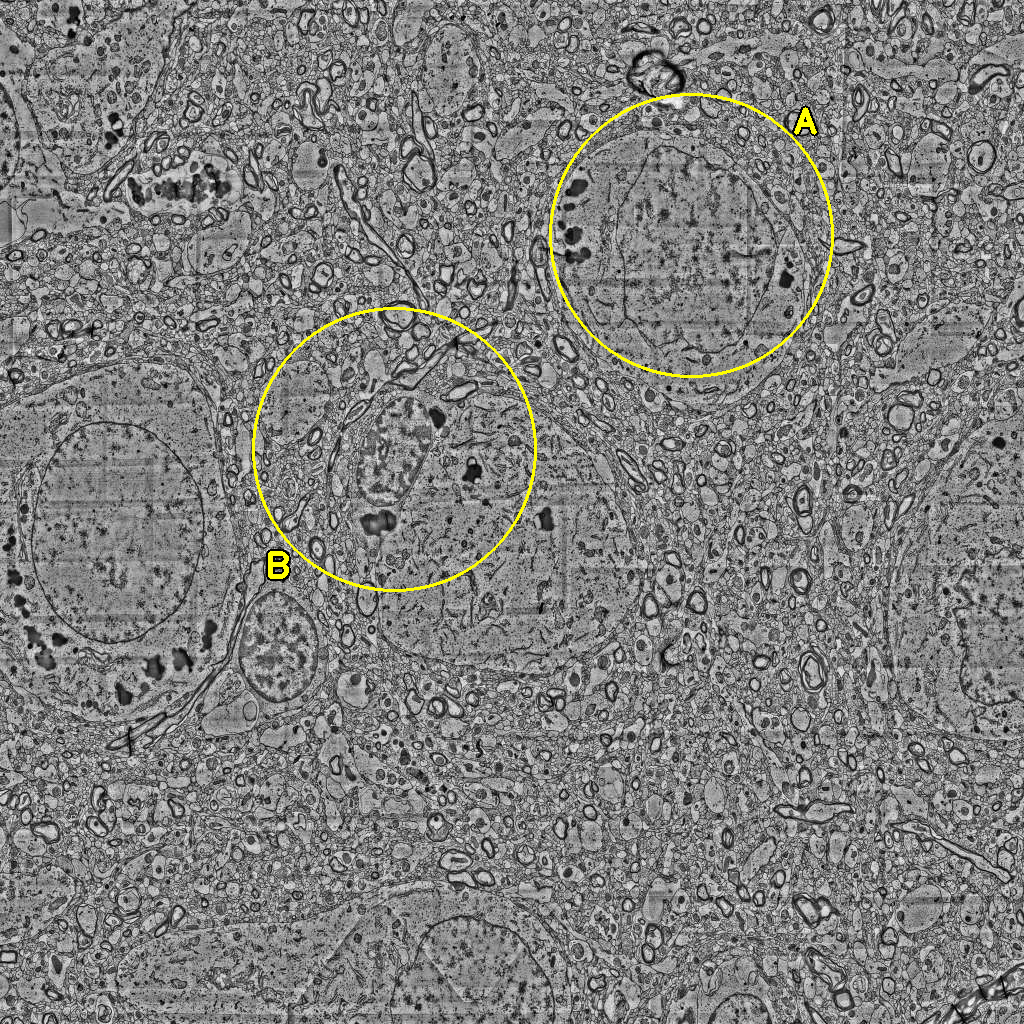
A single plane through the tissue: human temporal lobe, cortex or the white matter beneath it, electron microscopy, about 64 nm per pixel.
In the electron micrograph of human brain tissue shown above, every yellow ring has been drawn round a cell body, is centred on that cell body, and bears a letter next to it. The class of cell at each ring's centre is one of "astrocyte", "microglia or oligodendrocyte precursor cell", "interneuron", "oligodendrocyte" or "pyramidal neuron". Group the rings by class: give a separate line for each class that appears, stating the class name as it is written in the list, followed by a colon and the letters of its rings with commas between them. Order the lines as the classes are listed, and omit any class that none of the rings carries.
oligodendrocyte: B
pyramidal neuron: A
